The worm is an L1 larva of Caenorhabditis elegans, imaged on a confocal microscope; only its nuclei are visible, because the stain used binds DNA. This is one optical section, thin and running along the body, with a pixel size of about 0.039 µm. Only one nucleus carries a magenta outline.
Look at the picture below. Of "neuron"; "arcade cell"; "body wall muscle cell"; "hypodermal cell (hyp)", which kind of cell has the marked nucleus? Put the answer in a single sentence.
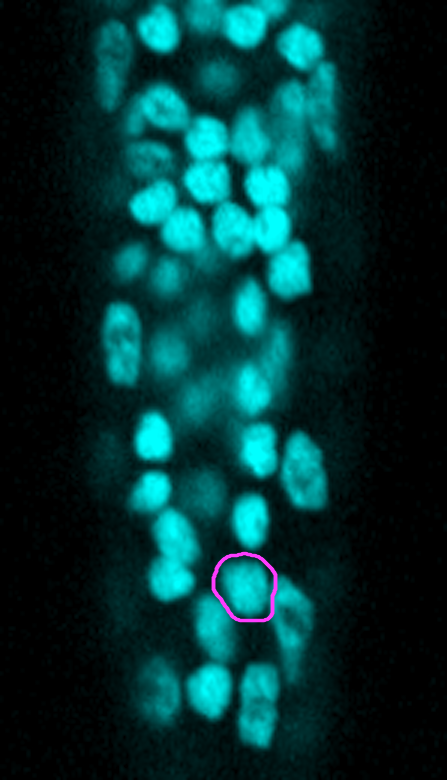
The marked nucleus is that of an arcade cell.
